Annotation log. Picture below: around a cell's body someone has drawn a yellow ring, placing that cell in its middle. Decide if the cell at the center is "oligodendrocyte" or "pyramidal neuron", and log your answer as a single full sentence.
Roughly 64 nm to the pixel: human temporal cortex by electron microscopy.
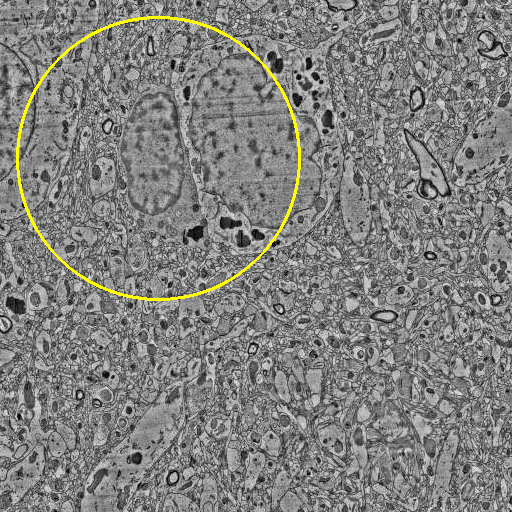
My entry records an oligodendrocyte as the cell sitting at the center of the yellow ring.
